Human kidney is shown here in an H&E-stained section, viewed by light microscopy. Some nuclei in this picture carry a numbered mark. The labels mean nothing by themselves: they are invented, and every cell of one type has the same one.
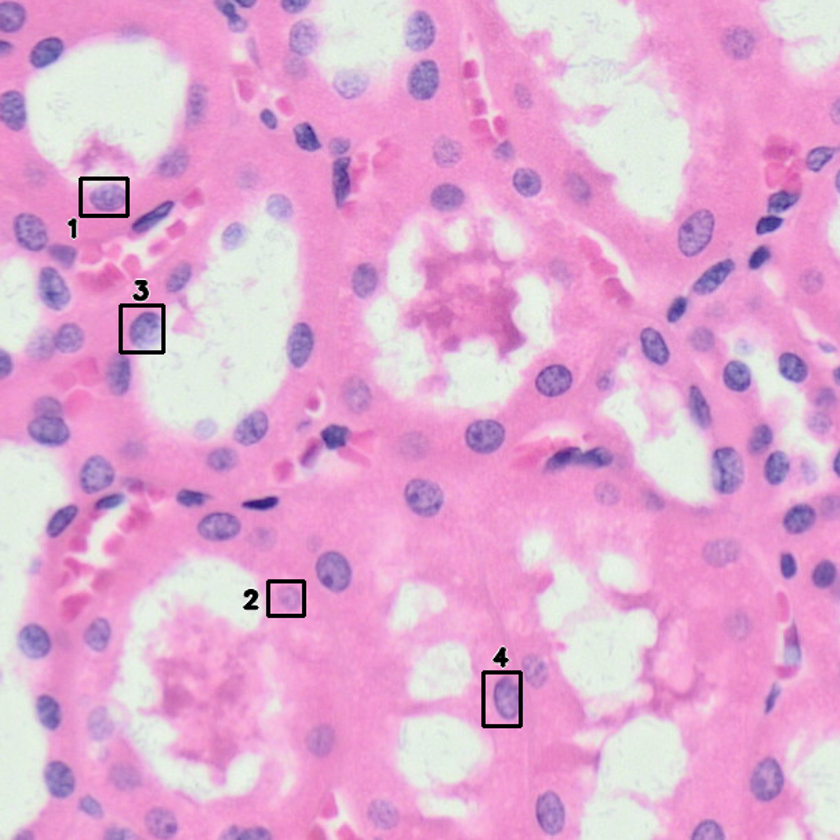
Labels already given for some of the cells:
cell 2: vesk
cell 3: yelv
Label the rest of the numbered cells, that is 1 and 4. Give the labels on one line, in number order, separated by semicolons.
yelv; vesk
